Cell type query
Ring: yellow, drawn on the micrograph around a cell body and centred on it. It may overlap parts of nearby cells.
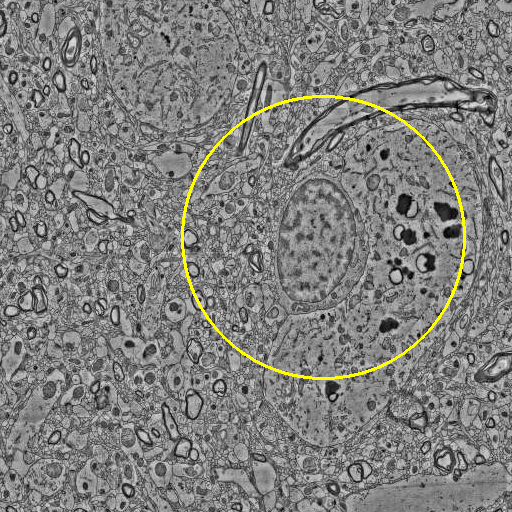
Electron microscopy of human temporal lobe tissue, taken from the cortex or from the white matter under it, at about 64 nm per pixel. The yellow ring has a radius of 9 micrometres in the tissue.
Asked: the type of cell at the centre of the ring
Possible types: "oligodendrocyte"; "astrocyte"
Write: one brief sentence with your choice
The ring marks an oligodendrocyte.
